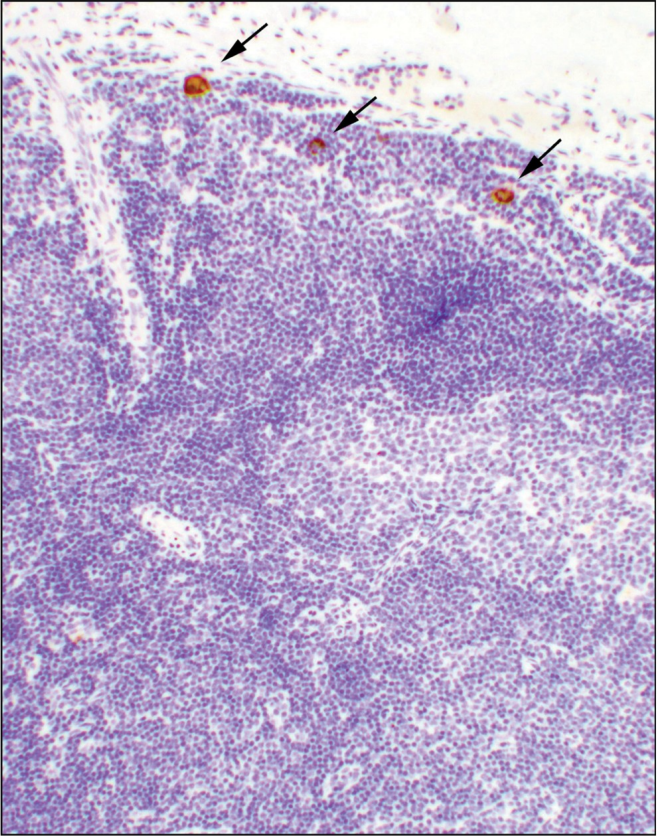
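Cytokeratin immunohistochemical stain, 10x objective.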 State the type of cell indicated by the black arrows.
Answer: Isolated tumor cells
